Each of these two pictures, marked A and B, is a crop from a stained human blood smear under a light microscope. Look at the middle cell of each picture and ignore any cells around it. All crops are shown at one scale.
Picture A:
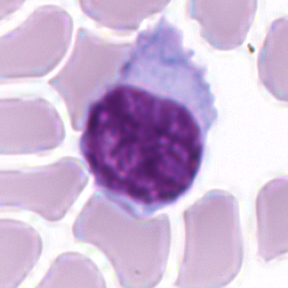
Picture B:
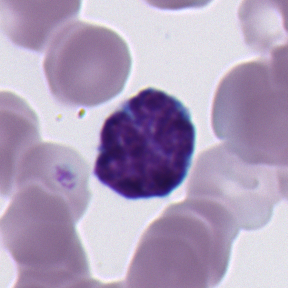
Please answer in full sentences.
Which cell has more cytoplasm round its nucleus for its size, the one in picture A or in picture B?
The nucleus fills less of the cell in picture A than in picture B.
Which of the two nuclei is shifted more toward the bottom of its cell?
It is the nucleus in picture A that lies further toward the bottom of its cell.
